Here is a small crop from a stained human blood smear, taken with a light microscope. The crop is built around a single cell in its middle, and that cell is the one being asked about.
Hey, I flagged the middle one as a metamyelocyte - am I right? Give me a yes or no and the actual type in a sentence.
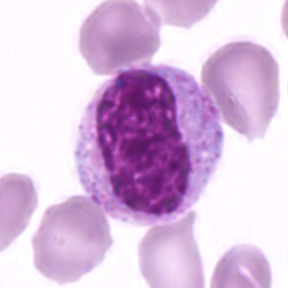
Yes, the middle cell here is a metamyelocyte.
